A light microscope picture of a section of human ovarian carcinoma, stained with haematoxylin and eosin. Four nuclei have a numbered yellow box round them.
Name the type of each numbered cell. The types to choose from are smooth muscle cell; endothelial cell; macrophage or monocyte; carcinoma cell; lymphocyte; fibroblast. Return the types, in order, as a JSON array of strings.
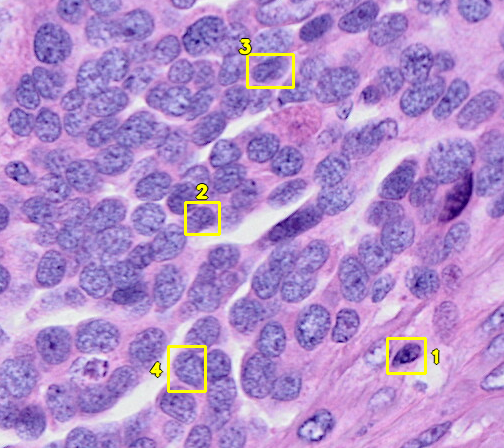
["lymphocyte", "carcinoma cell", "carcinoma cell", "carcinoma cell"]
